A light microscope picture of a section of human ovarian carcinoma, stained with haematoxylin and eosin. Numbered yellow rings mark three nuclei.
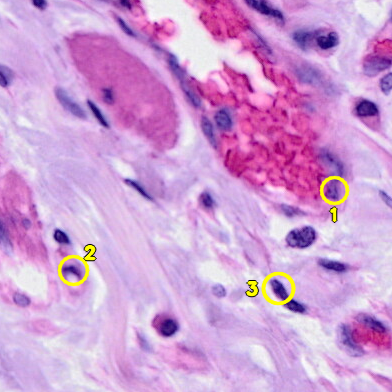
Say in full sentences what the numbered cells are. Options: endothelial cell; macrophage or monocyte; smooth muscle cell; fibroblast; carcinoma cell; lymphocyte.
Cell 1 is an endothelial cell, cell 2 is an endothelial cell and cell 3 is a lymphocyte.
